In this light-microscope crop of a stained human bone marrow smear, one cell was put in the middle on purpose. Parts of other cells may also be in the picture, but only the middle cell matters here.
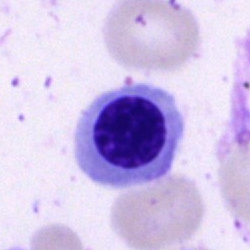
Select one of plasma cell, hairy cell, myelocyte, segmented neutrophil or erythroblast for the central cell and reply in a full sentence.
The cell centered in this field of view is an erythroblast.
